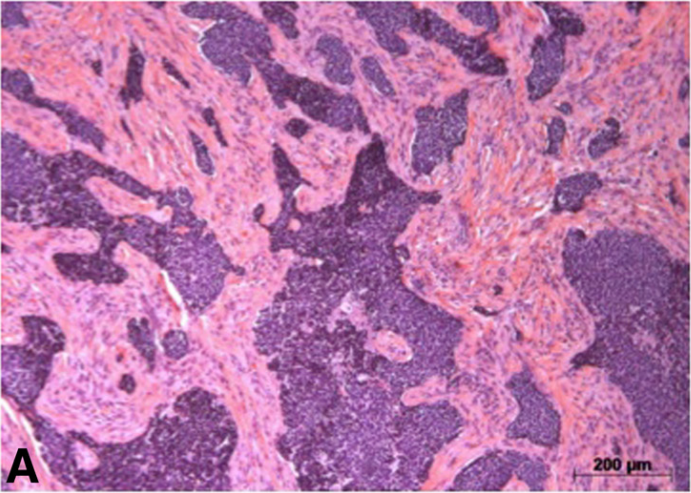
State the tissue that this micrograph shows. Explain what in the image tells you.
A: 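A thick collagenized cellularized stroma. Broad pink fibrous bands lie between the dark cell nests. The pink bands contain scattered elongated nuclei.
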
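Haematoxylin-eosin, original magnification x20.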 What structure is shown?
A: islands and cords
